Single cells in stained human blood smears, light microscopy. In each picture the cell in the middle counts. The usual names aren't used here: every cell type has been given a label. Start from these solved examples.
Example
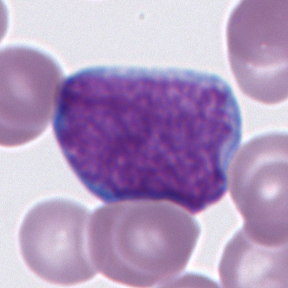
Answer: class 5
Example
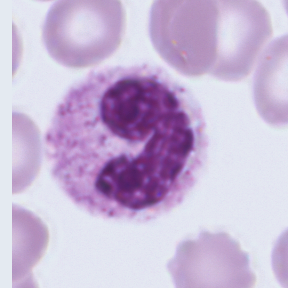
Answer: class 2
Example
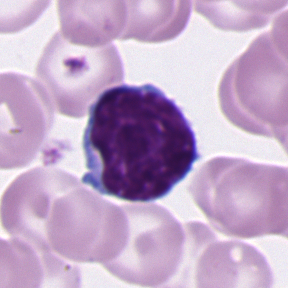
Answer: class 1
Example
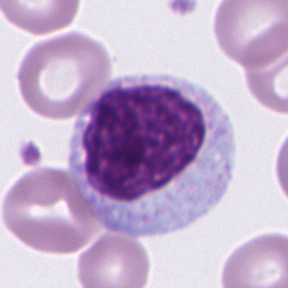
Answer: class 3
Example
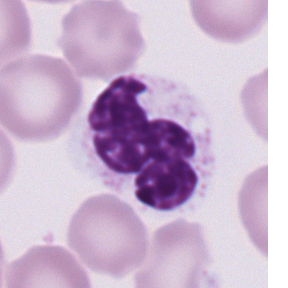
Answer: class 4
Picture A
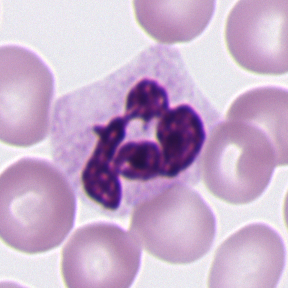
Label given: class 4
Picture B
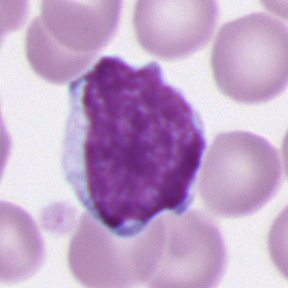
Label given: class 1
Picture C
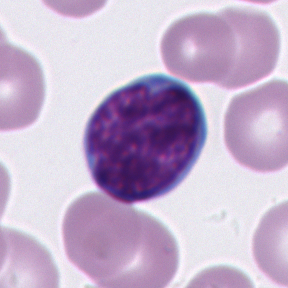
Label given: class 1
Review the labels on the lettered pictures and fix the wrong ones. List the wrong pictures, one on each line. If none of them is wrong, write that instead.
Nothing to fix; every label fits.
